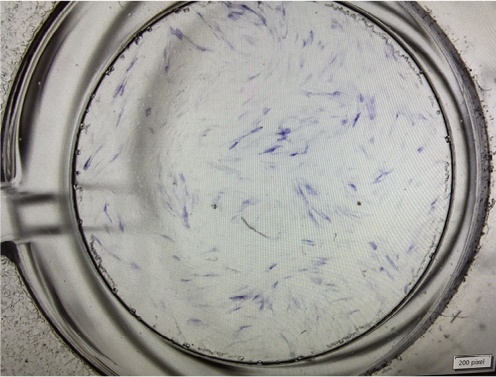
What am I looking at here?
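Low-magnification view of a whole culture well of spindle-shaped cells. Blue-purple stained cells are scattered singly and in small groups across the well, with much pale unstained area between them. The stained cells are elongated, with tapering ends, and lie in loose, partly aligned streams.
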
